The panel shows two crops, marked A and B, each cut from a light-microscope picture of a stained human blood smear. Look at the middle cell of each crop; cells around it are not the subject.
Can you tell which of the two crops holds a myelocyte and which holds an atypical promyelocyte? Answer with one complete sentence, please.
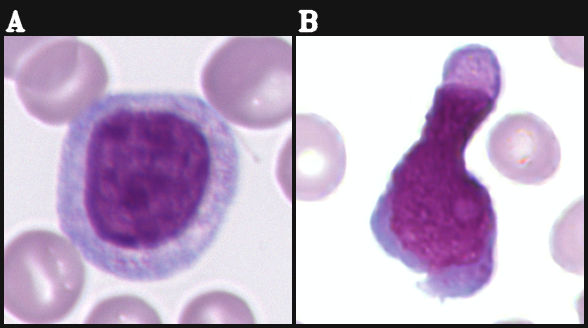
Crop A has a myelocyte at its centre, and crop B has an atypical promyelocyte.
